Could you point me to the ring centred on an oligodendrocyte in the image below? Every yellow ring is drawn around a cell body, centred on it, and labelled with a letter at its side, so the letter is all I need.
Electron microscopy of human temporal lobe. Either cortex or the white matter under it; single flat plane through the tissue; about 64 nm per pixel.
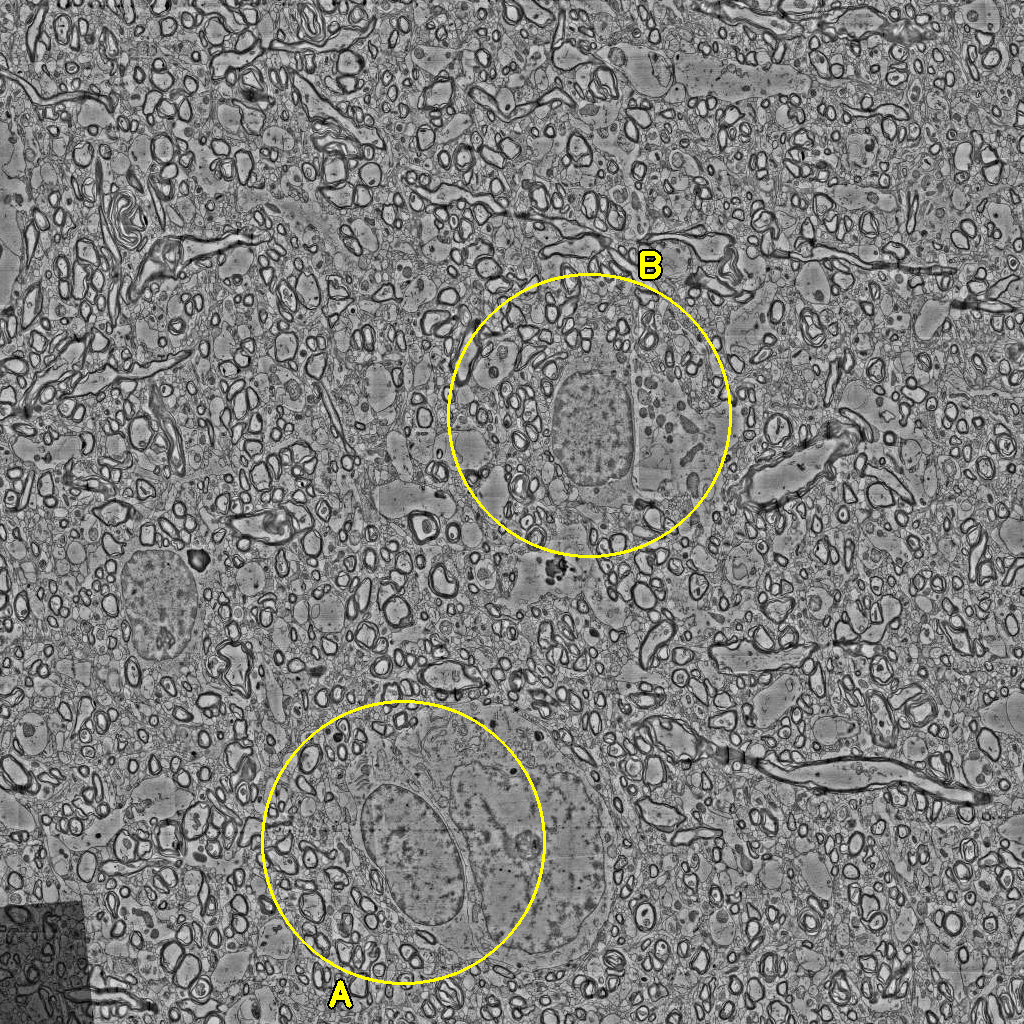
B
